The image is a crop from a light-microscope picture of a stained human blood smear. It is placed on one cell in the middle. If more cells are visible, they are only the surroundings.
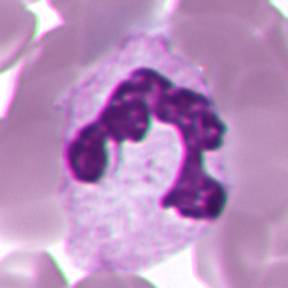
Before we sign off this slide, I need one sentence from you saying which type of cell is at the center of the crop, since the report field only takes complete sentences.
The cell in the middle of the field of view is a segmented neutrophil.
